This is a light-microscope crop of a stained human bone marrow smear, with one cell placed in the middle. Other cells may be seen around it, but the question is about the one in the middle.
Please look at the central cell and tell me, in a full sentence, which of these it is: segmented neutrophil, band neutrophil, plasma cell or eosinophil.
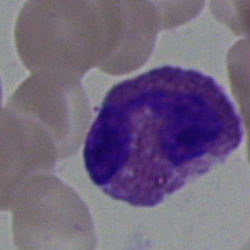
The cell the crop is centered on is an eosinophil.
